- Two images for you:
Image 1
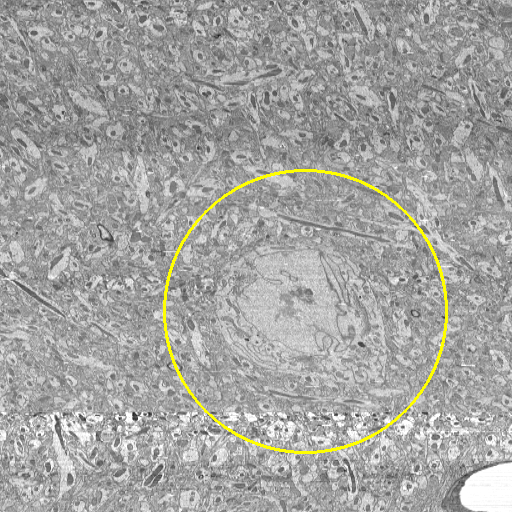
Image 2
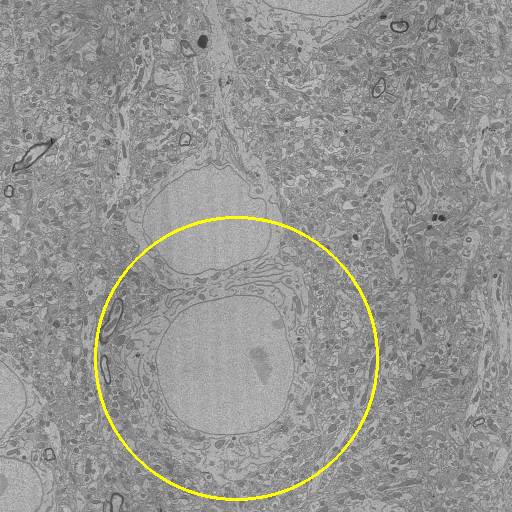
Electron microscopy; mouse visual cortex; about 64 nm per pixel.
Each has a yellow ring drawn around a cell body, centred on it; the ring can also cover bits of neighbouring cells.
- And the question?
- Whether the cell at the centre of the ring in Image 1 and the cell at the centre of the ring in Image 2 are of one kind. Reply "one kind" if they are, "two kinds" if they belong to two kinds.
two kinds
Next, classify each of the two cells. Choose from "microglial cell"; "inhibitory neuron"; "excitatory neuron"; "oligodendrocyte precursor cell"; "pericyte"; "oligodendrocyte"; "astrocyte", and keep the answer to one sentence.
In the first picture it is an inhibitory neuron; in the second it is an excitatory neuron.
